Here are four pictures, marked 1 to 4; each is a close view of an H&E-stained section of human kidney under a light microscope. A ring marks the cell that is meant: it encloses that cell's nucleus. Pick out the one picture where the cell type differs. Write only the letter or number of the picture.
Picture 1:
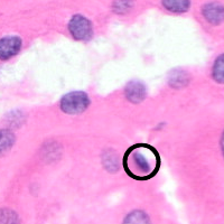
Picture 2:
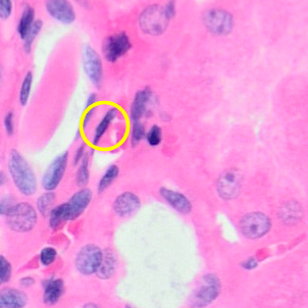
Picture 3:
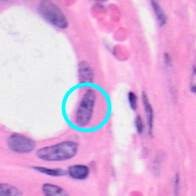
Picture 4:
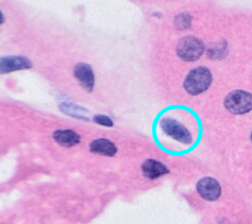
3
